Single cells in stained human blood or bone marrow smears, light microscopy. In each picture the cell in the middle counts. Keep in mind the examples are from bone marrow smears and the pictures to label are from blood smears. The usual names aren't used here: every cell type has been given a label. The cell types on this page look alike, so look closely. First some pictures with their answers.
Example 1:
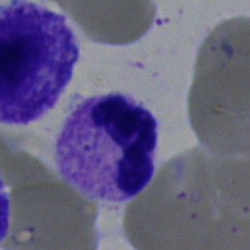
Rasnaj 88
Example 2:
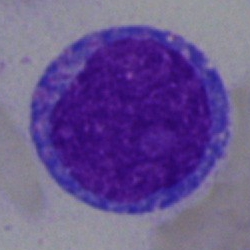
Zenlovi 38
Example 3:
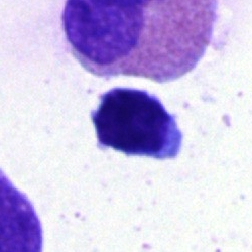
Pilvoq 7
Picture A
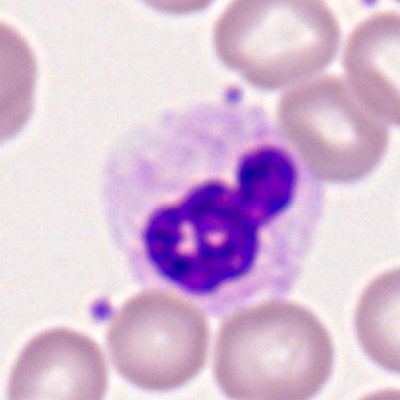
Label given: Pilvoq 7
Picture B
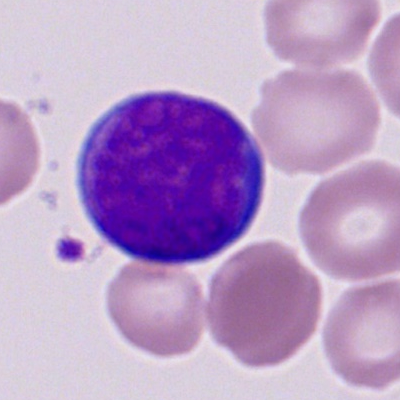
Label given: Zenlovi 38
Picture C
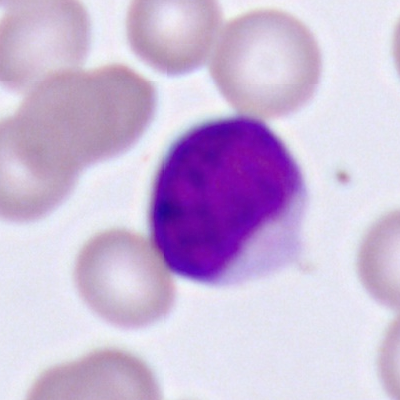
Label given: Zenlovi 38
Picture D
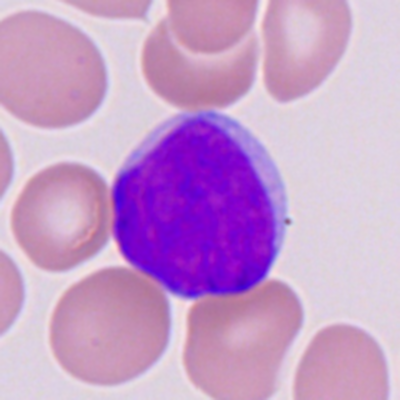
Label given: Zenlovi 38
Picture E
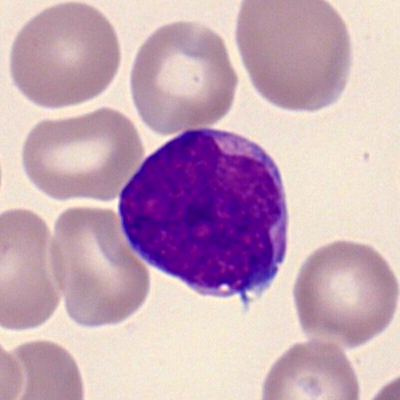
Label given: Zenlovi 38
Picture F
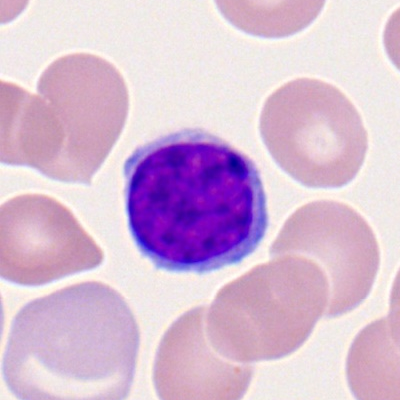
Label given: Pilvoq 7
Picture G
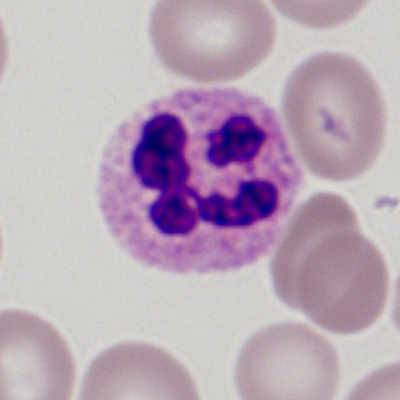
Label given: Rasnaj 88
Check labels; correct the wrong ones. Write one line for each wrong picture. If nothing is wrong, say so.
Wrong: A (Pilvoq 7); correct: Rasnaj 88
